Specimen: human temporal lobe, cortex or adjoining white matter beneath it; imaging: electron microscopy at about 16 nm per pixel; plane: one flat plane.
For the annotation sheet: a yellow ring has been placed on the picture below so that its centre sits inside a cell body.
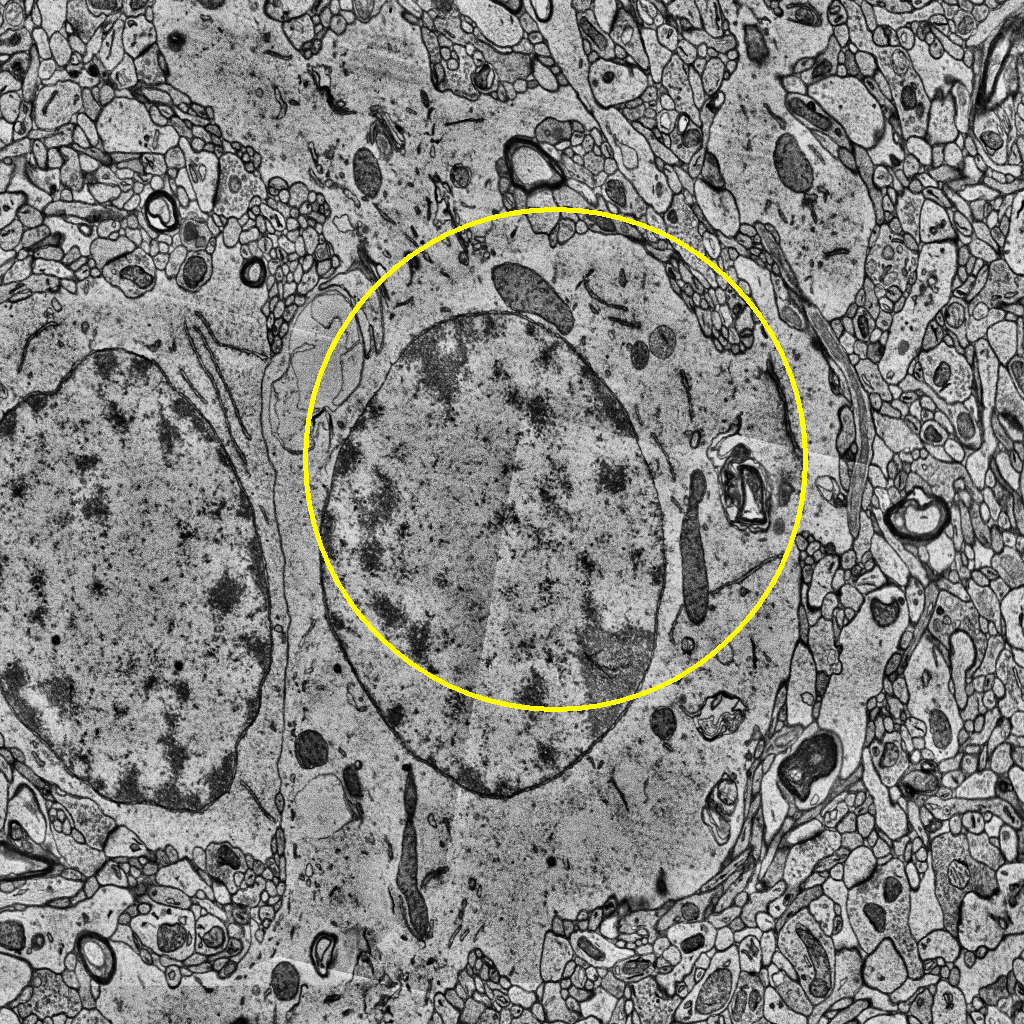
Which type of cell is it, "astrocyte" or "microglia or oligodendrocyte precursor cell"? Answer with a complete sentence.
The cell at the ring's centre is an astrocyte.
